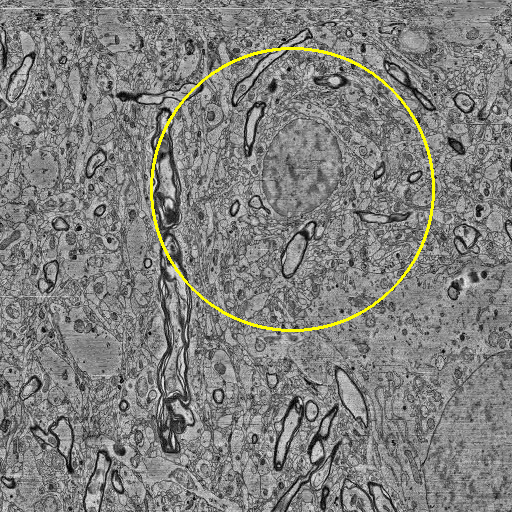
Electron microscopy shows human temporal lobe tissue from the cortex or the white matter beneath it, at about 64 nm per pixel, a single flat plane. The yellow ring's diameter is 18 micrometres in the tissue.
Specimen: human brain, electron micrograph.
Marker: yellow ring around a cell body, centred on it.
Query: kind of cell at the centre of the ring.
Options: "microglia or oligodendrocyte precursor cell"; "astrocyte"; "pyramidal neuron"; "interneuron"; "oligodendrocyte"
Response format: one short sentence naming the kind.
This cell body belongs to an oligodendrocyte.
